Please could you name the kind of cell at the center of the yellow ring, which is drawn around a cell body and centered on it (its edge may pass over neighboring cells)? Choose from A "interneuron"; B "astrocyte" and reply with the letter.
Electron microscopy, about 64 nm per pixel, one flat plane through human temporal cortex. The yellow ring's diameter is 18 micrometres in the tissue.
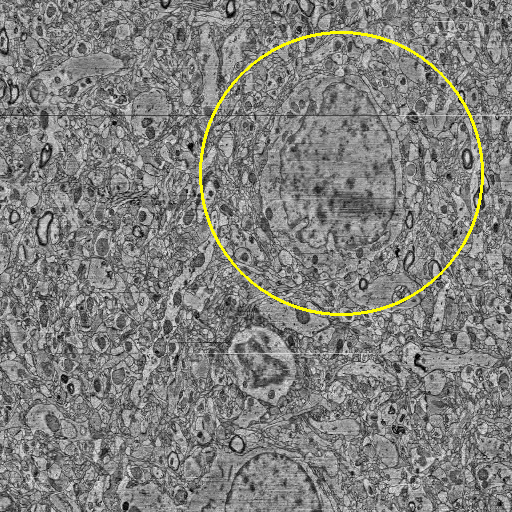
A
